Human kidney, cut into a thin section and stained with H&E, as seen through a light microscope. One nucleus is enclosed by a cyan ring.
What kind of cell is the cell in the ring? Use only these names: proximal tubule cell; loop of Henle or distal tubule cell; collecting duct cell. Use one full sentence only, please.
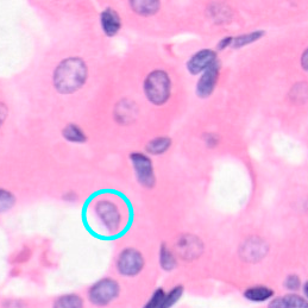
Considered by cell type, the cell in the ring is a loop of Henle or distal tubule cell.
